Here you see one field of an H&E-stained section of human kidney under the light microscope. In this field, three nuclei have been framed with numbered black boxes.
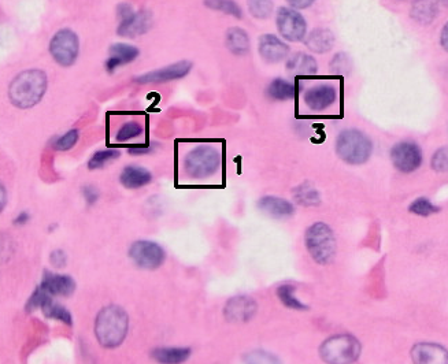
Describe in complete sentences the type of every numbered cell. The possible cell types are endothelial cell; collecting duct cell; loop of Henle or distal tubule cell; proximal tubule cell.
Cell 1 is a loop of Henle or distal tubule cell. Cell 2 is an endothelial cell. Cell 3 is a collecting duct cell.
